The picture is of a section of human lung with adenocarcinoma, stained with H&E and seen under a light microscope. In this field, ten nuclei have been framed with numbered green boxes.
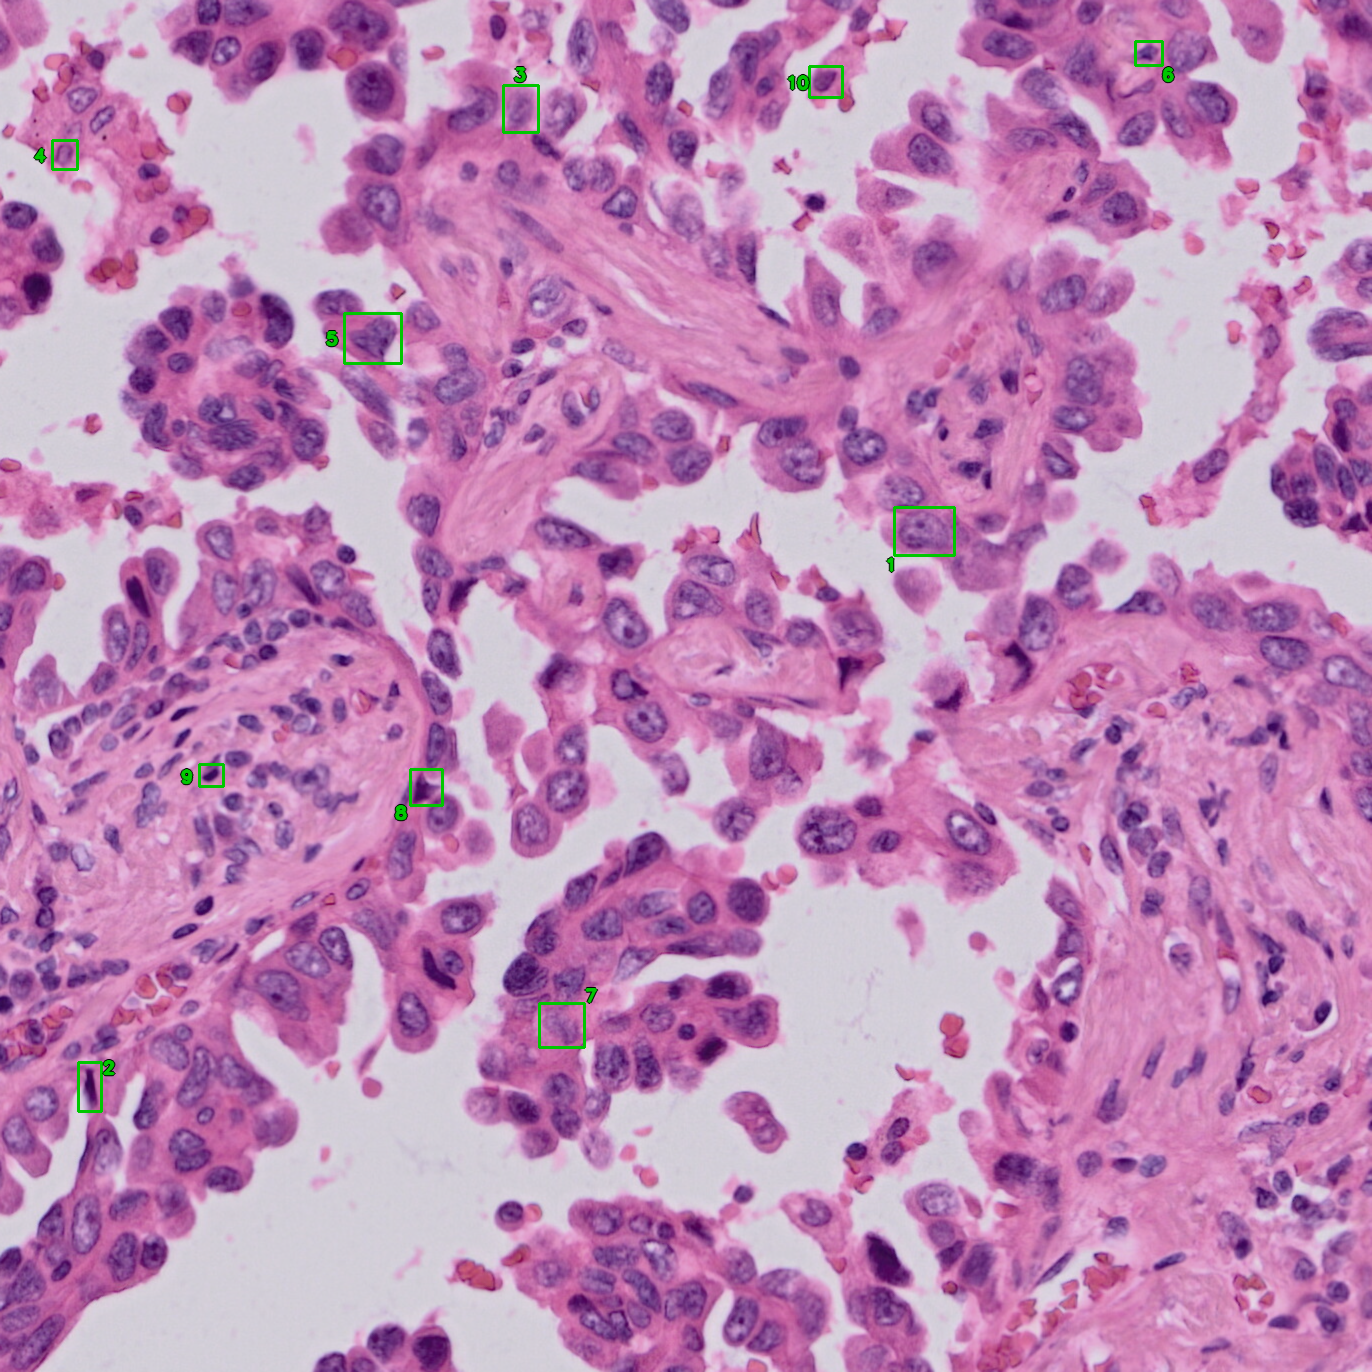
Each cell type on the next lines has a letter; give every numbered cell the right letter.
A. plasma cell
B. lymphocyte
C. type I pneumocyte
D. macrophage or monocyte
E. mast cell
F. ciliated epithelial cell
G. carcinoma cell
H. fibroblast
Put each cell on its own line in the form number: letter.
1: G
2: G
3: G
4: D
5: G
6: B
7: G
8: G
9: B
10: D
